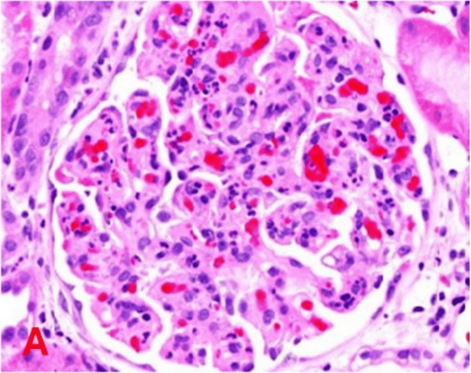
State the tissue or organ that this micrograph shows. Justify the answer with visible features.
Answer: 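Glomeruli. A rounded tuft of capillary loops sits inside a thin capsule with a clear space around it. Surrounding tubules with pink cytoplasm lie outside the capsule.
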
